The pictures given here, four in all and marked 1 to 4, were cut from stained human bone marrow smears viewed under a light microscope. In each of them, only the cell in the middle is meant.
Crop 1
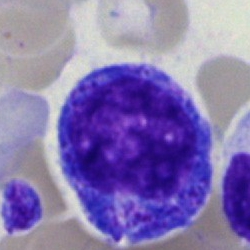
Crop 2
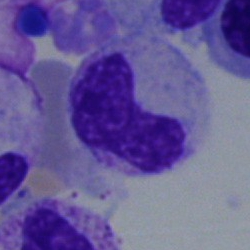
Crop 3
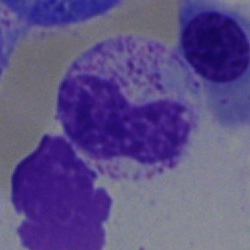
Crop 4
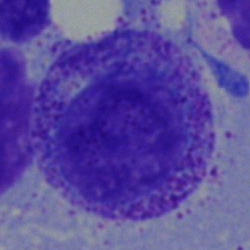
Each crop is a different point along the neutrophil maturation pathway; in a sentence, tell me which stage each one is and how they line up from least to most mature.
Arranged by increasing maturity, the crops are crop 1 (a promyelocyte), crop 4 (a myelocyte), crop 3 (a metamyelocyte) and crop 2 (a band neutrophil).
